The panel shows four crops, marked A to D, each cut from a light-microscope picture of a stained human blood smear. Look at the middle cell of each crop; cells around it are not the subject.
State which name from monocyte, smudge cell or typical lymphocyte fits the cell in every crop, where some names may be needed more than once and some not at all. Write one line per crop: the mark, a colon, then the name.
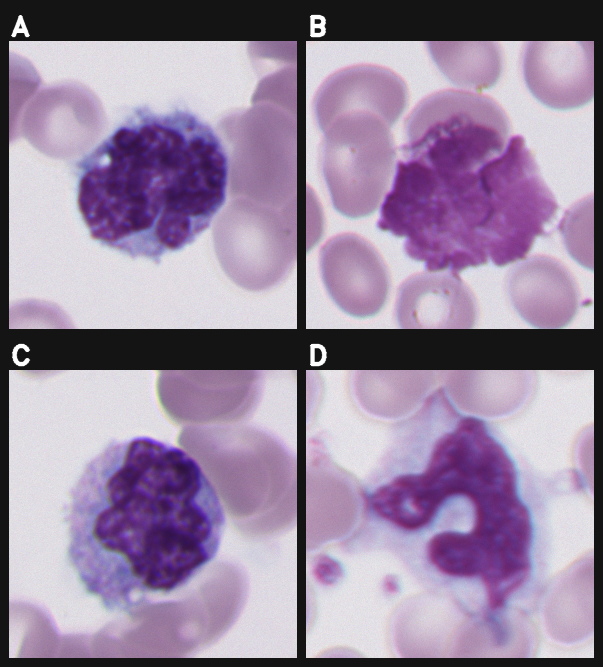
A: monocyte
B: smudge cell
C: monocyte
D: monocyte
